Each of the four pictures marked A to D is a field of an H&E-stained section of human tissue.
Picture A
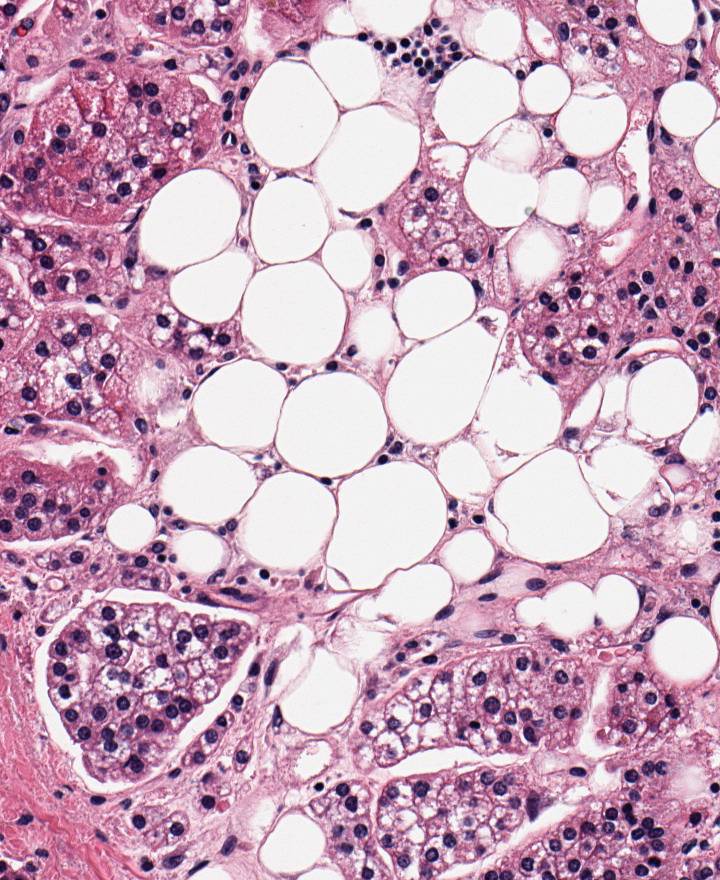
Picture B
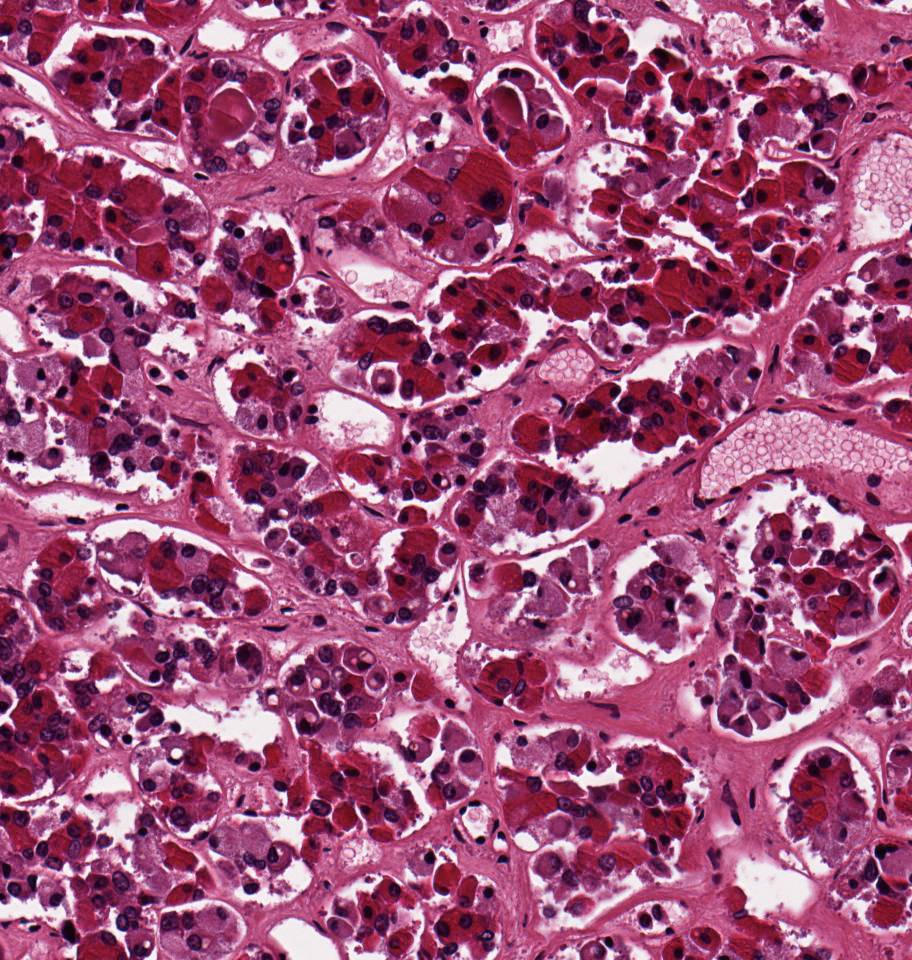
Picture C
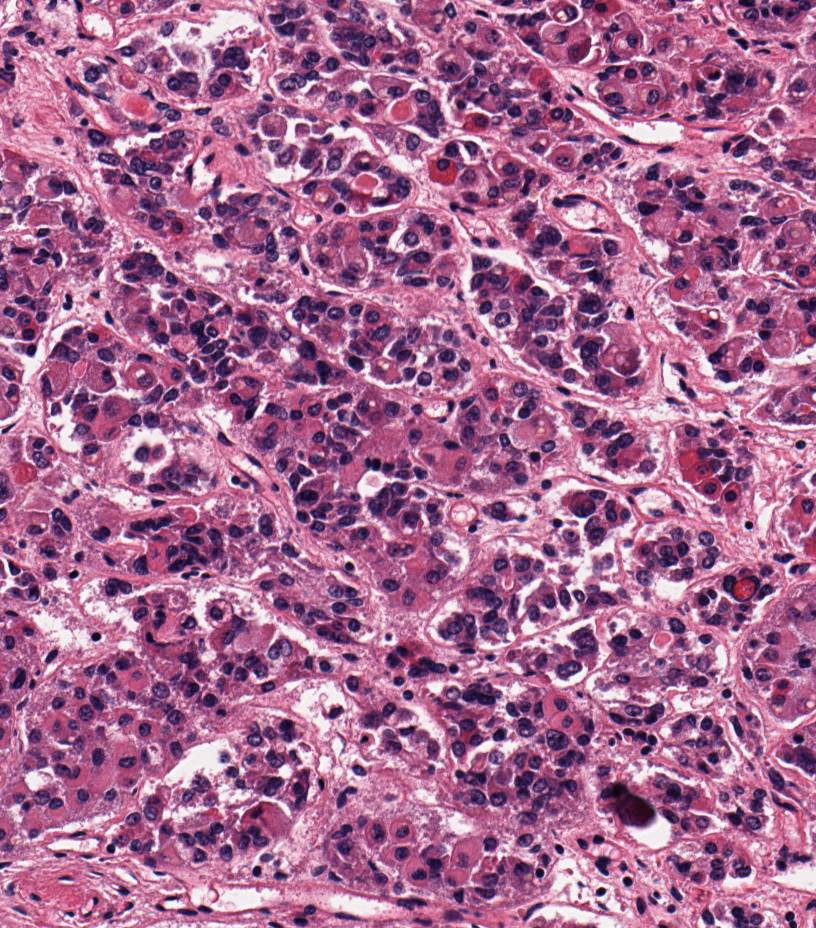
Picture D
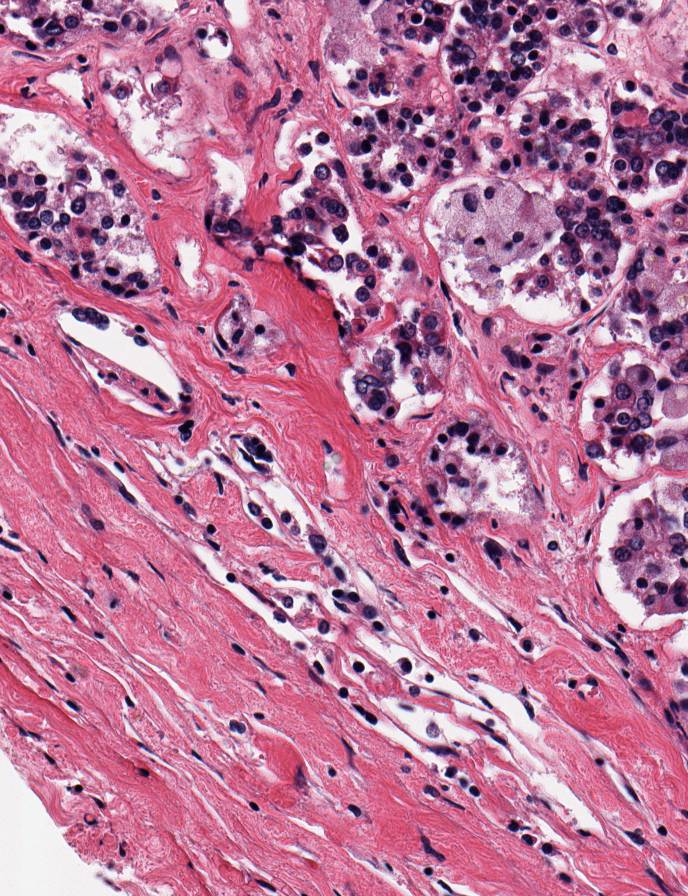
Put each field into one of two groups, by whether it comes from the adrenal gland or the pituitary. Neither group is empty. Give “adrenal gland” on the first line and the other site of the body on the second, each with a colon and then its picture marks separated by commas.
adrenal gland: A
pituitary: B, C, D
